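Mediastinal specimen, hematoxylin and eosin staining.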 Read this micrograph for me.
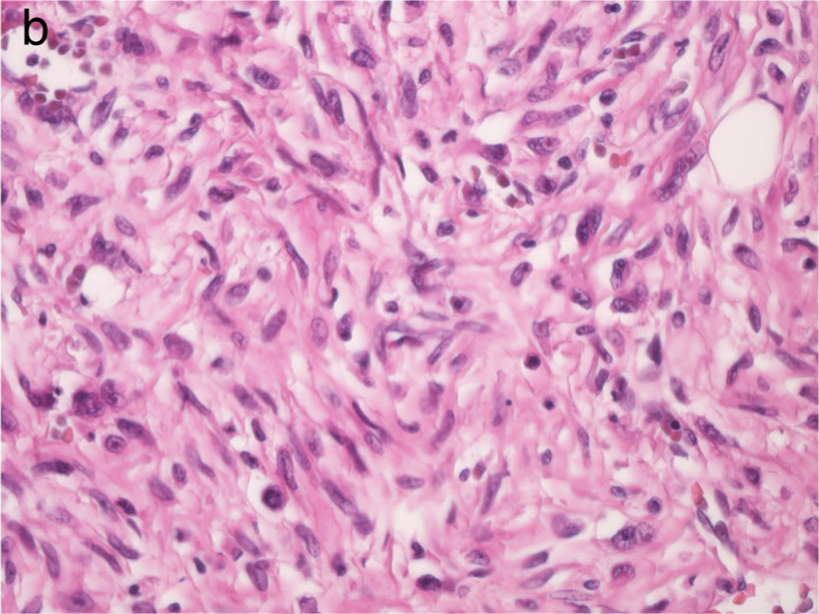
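Closely packed spindle and plump cells with pink cytoplasm and elongated to oval purple nuclei lie in a pale pink fibrillary stroma, with a few red blood cells and small clear spaces scattered among them. The nuclei vary in size and darkness, some enlarged and irregular, and the cells run in short bundles crossing in different directions. These are atypical fibroblast-like cells arranged in a storiform pattern.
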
